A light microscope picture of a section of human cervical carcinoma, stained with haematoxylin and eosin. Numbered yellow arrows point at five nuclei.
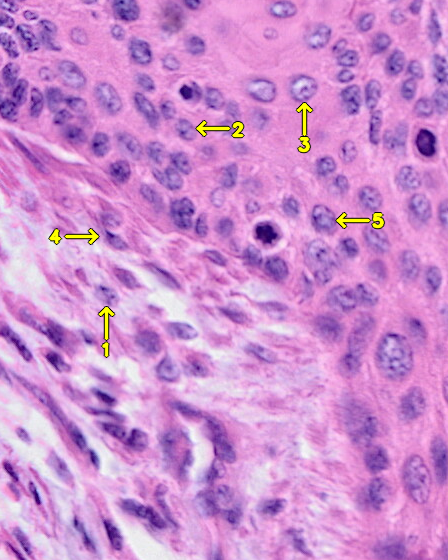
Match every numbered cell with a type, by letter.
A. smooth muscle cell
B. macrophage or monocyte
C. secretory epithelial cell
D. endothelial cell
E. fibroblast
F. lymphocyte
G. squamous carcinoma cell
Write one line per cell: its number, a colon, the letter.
1: E
2: G
3: G
4: E
5: G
